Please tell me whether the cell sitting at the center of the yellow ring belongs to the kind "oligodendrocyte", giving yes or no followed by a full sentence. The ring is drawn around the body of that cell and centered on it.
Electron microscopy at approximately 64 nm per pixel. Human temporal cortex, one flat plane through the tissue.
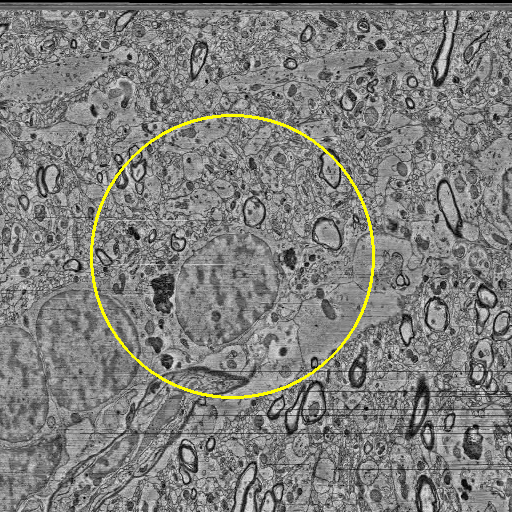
Yes, the cell at the center of the ring in the picture is of that kind.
